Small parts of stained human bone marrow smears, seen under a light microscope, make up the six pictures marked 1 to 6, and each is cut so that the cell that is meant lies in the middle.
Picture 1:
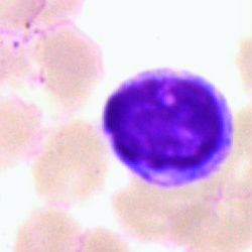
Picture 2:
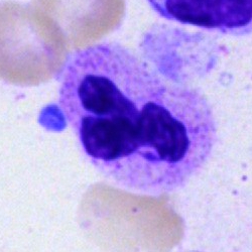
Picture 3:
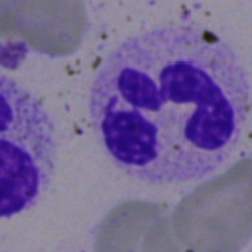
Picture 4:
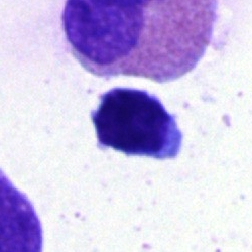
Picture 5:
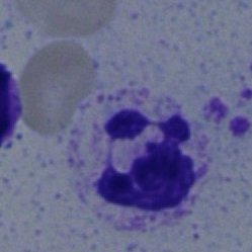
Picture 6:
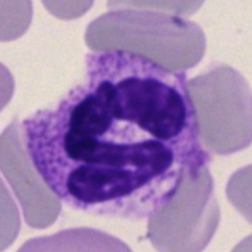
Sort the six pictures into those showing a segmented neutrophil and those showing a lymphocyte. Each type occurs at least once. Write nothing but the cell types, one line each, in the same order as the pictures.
lymphocyte
segmented neutrophil
segmented neutrophil
lymphocyte
segmented neutrophil
segmented neutrophil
